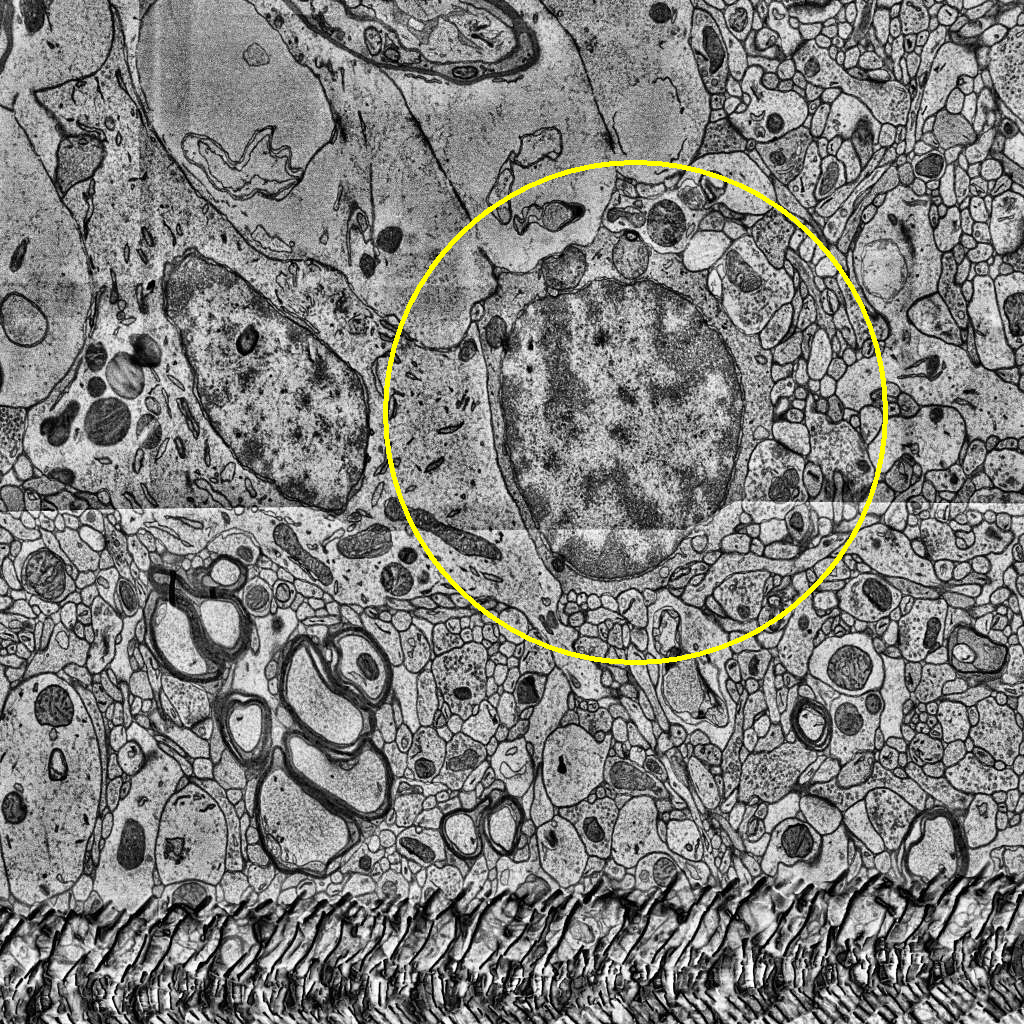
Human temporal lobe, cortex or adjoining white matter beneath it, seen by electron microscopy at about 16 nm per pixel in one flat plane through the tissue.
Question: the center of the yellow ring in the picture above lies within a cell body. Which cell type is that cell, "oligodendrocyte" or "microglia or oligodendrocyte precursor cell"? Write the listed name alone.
oligodendrocyte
